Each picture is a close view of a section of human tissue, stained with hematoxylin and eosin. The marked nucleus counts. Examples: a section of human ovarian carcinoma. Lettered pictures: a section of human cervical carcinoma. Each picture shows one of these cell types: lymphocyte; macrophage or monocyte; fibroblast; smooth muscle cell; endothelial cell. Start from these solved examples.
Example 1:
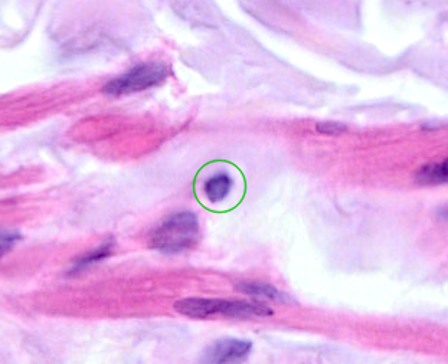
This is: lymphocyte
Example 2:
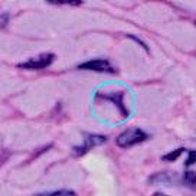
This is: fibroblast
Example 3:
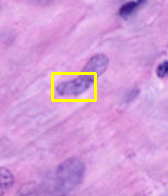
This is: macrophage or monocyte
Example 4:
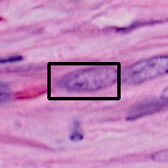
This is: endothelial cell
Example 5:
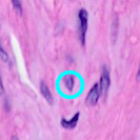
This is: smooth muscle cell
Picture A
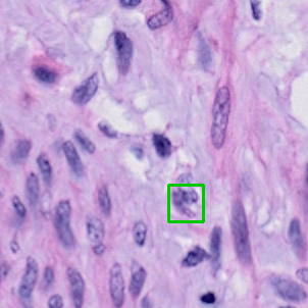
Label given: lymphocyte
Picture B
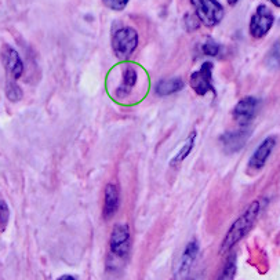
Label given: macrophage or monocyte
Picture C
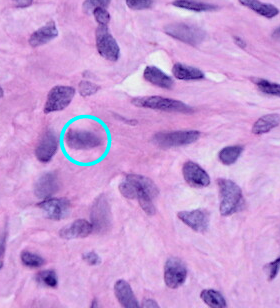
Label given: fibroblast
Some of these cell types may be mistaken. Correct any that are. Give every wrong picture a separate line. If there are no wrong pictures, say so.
A: macrophage or monocyte, not lymphocyte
